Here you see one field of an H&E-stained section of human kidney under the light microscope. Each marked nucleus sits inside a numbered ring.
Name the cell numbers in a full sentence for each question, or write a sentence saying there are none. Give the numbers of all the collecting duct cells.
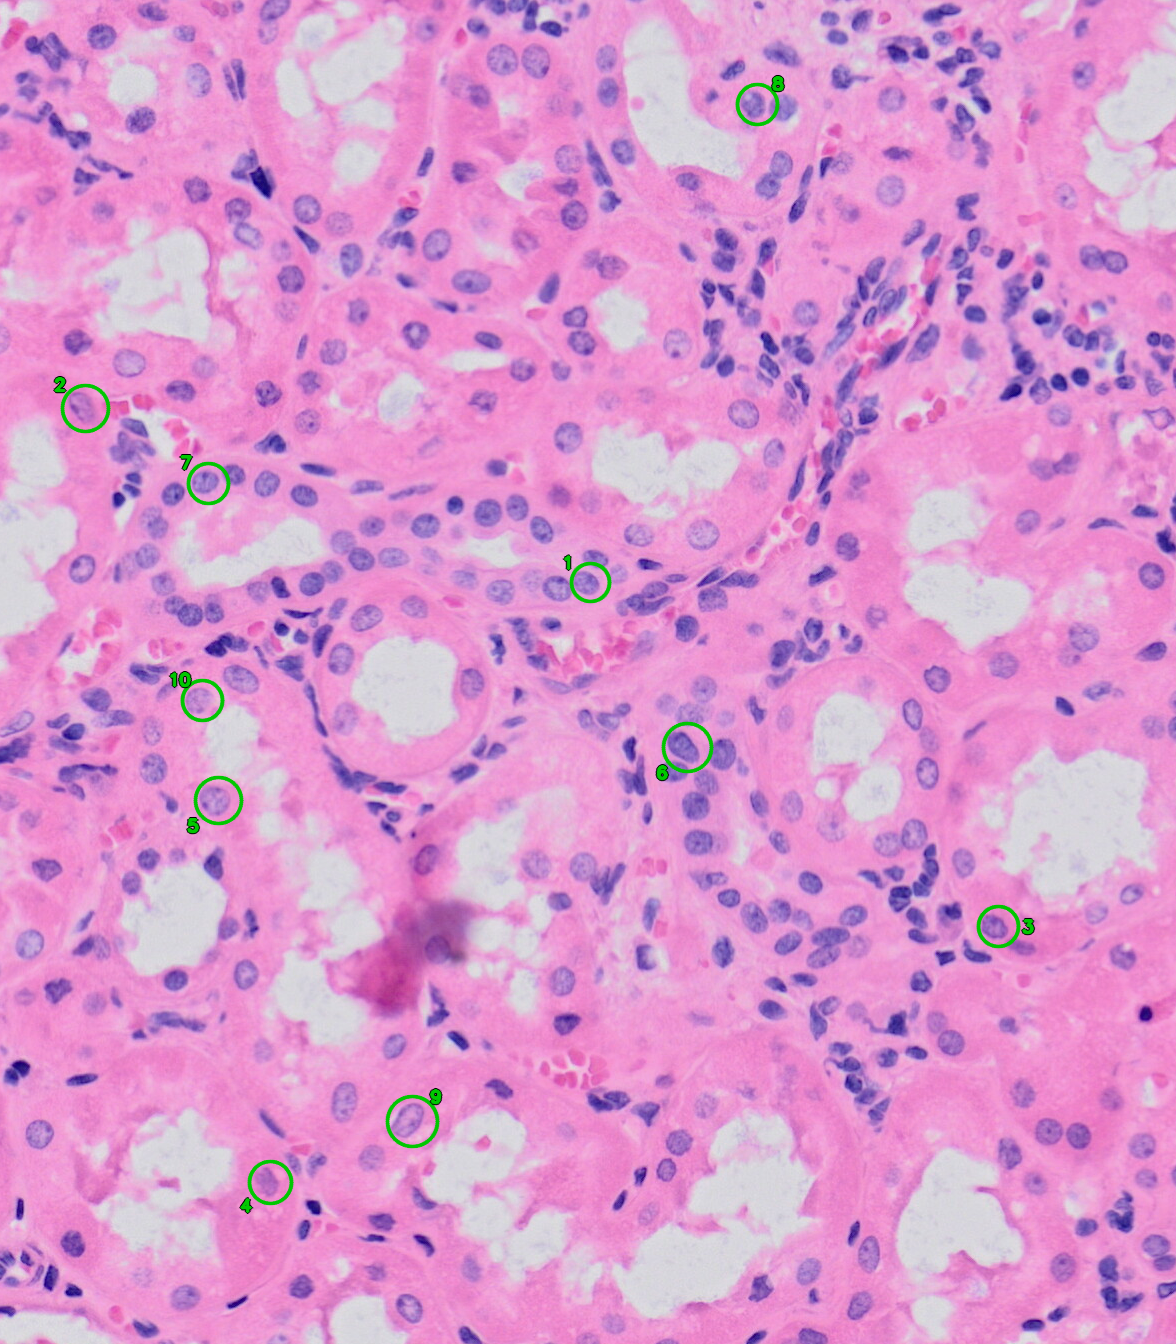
The cells tagged 1, 6 and 7 are collecting duct cells in this tissue section.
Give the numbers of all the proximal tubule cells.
The cells which carry the numbers 2, 3, 4, 5, 9 and 10 are proximal tubule cells.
